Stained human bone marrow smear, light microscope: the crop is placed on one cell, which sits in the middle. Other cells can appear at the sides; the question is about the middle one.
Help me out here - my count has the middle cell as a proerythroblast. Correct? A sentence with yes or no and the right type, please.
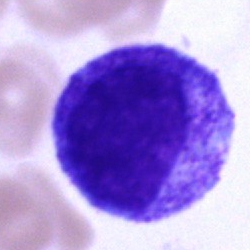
No, what is centred in the crop is not a proerythroblast but a promyelocyte.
